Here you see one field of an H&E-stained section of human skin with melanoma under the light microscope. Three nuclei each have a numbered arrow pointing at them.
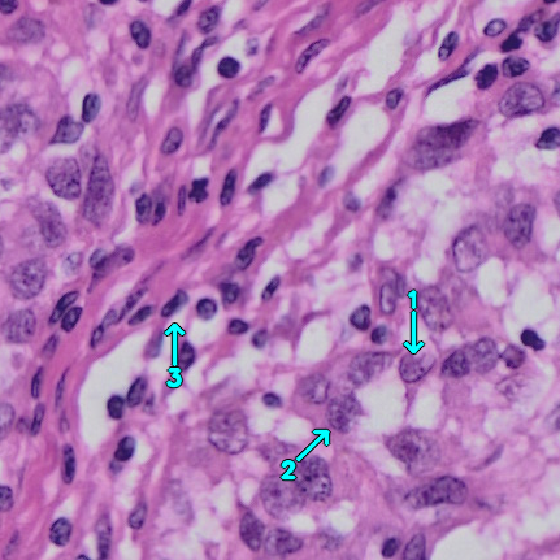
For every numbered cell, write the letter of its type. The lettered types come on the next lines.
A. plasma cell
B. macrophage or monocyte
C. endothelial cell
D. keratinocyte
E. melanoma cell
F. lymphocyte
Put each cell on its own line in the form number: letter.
1: E
2: E
3: F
